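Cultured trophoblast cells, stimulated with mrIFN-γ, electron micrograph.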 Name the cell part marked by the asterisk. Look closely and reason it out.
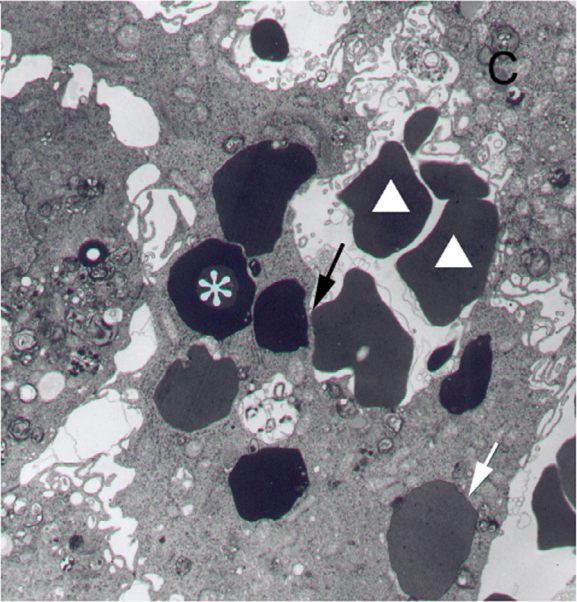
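Erythrophagosomes. The marked body is a homogeneous electron-dense profile lying within the cytoplasm.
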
